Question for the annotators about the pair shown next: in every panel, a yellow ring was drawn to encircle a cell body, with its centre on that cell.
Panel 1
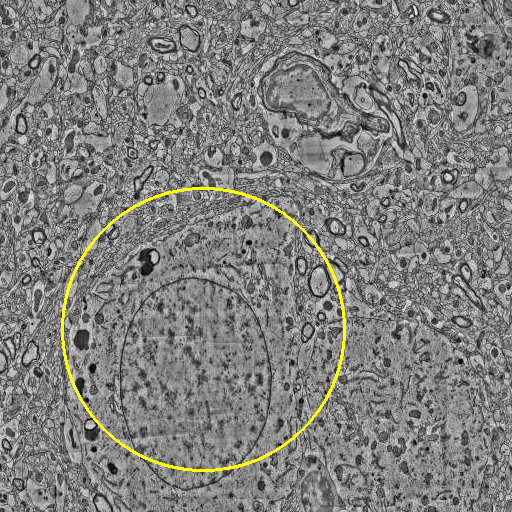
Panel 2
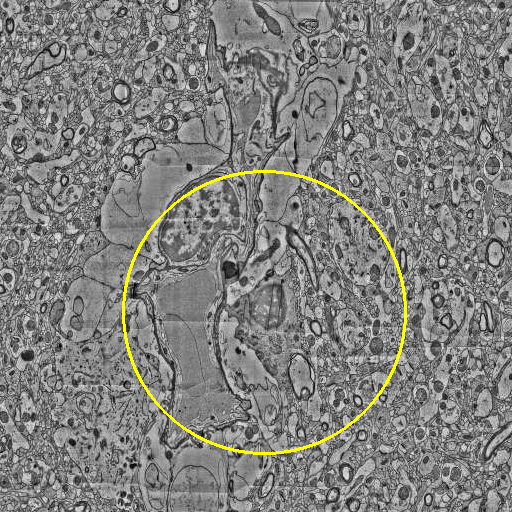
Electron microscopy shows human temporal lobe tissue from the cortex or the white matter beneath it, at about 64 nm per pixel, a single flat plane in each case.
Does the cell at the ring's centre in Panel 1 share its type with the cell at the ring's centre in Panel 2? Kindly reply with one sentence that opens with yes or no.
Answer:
No, in Panels 1 and 2 the cells at the ring centres belong to separate types.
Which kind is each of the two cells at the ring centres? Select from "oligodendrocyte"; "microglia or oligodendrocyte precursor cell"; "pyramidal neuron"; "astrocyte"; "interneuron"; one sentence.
The cell at the centre of the ring is a pyramidal neuron in the first picture and an oligodendrocyte in the second.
